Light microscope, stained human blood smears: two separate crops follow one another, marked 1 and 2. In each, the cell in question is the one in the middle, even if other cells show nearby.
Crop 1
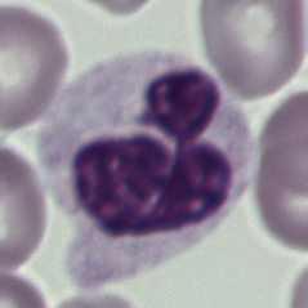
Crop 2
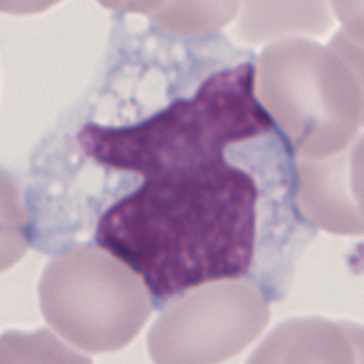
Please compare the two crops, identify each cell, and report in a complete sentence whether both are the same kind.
No, shown in crop 1 is a neutrophil, and shown in crop 2 is a monocyte.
